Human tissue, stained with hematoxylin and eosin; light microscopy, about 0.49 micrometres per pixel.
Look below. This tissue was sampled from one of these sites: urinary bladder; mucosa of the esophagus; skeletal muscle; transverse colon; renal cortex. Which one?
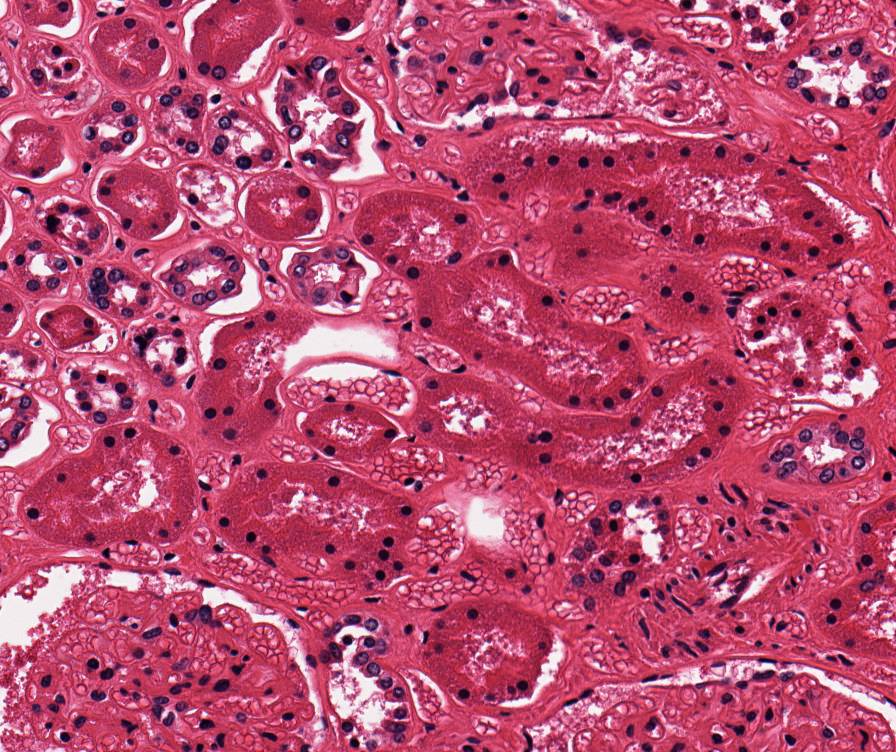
renal cortex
